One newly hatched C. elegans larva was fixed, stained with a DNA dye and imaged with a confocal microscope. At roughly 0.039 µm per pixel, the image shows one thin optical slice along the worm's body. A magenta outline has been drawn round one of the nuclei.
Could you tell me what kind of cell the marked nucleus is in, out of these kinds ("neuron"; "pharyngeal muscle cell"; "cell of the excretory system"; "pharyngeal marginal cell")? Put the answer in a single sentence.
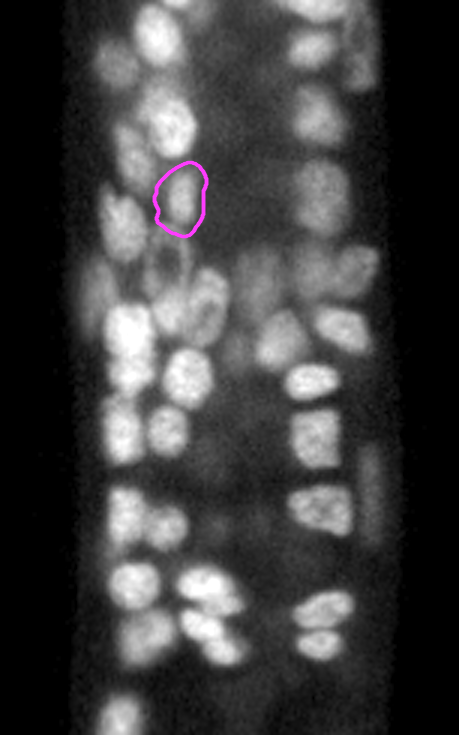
What is marked is the nucleus of a cell of the excretory system.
